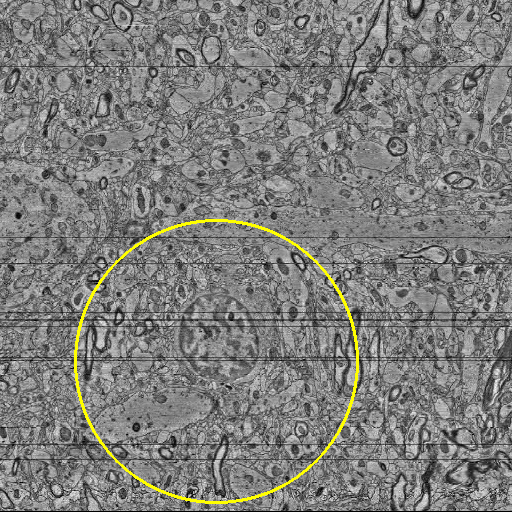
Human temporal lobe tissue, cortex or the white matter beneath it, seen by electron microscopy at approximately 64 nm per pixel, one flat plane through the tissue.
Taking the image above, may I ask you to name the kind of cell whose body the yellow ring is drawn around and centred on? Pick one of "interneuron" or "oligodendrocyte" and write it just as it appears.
oligodendrocyte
